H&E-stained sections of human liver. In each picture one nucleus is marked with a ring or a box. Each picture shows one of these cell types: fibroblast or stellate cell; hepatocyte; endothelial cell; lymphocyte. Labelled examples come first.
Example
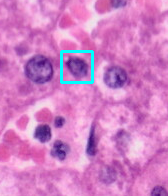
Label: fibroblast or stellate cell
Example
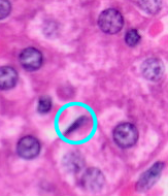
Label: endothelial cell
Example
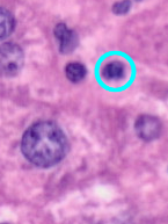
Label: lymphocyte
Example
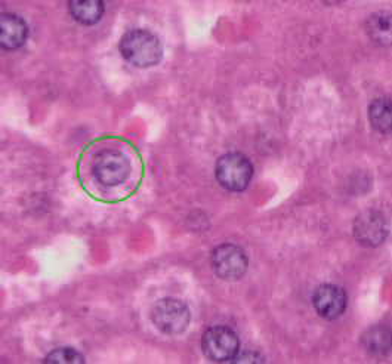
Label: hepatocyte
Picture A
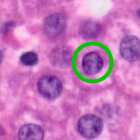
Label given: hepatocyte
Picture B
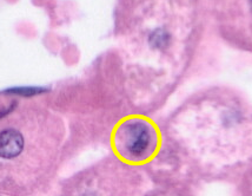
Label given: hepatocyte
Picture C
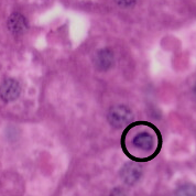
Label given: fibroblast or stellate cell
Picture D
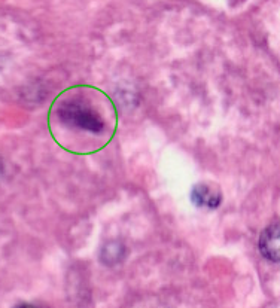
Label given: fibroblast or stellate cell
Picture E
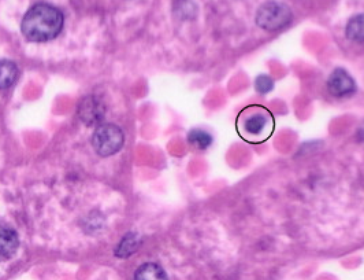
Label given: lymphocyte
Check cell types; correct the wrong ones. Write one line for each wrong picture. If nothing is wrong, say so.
B: change hepatocyte to fibroblast or stellate cell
